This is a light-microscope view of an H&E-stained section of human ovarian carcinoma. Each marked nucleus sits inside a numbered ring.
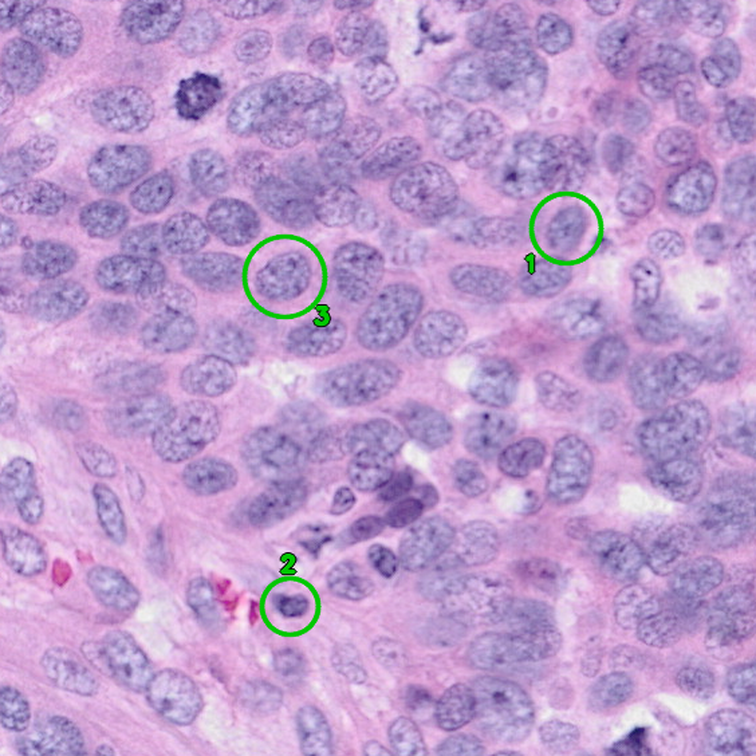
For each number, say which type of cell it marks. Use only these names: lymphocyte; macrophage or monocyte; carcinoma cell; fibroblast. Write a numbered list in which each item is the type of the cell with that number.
1. carcinoma cell
2. lymphocyte
3. carcinoma cell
